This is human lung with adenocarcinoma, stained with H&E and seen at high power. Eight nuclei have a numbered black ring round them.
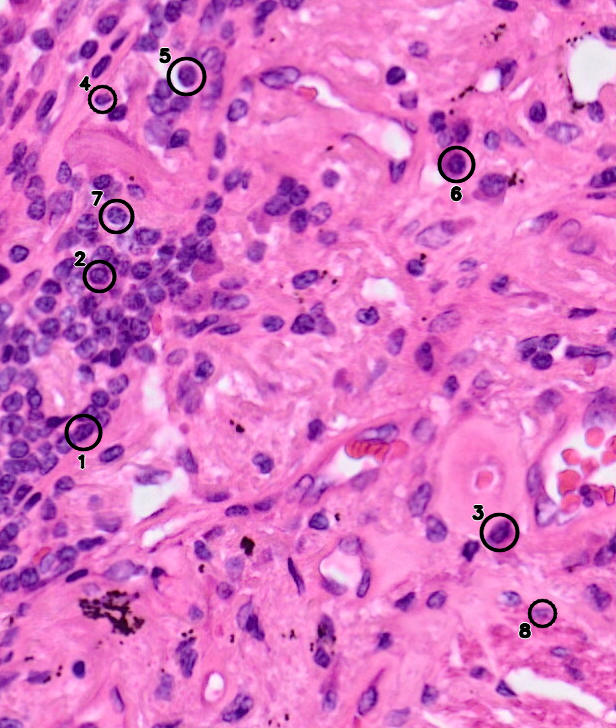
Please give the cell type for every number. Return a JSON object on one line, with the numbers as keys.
{"1": "lymphocyte", "2": "lymphocyte", "3": "plasma cell", "4": "lymphocyte", "5": "lymphocyte", "6": "plasma cell", "7": "lymphocyte", "8": "smooth muscle cell or pericyte"}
